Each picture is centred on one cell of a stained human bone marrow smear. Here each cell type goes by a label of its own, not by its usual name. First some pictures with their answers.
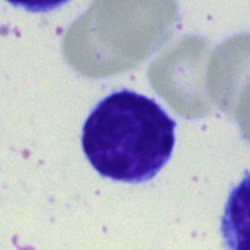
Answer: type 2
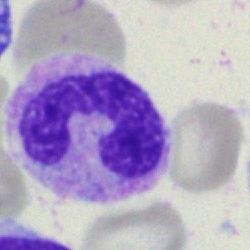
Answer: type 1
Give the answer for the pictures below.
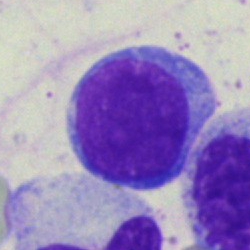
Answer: type 2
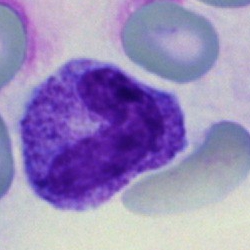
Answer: type 1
